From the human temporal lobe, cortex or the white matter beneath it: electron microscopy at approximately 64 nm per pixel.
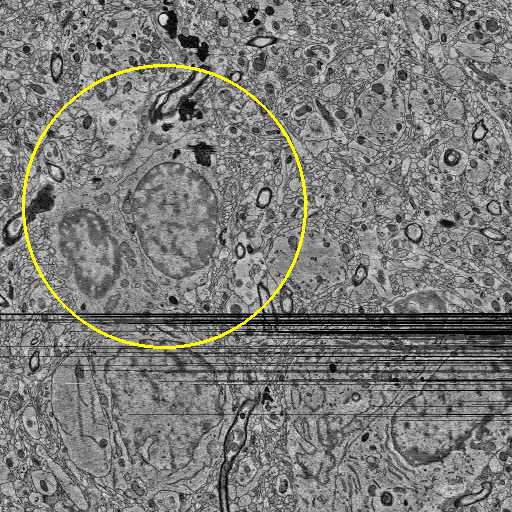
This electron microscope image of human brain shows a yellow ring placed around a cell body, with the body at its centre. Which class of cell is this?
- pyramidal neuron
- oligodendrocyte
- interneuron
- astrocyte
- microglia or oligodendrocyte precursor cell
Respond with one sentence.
The cell body at the ring's centre is an oligodendrocyte.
